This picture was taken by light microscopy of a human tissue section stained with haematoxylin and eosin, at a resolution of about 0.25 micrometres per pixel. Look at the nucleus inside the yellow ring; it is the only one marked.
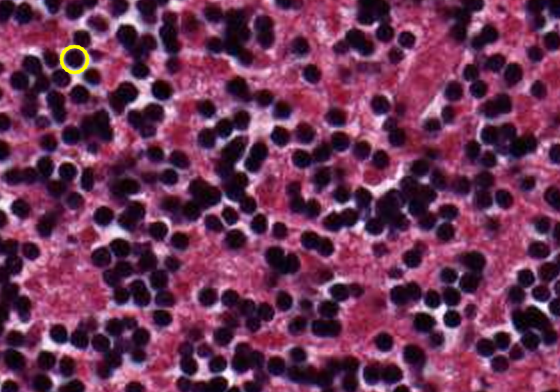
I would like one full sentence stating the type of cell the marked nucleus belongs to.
Here the marked nucleus is part of a cerebellar granule cell.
